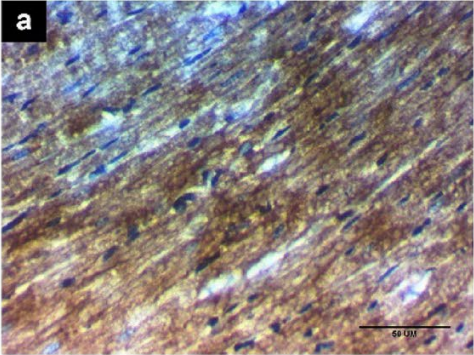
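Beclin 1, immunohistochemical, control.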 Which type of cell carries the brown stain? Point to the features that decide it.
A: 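Elongated parallel fibres carry brown stain. Oval blue nuclei lie within the fibres.
Myofibers.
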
